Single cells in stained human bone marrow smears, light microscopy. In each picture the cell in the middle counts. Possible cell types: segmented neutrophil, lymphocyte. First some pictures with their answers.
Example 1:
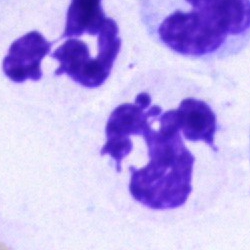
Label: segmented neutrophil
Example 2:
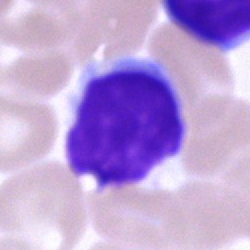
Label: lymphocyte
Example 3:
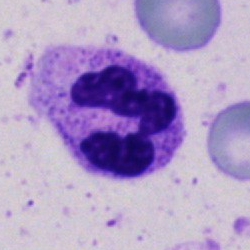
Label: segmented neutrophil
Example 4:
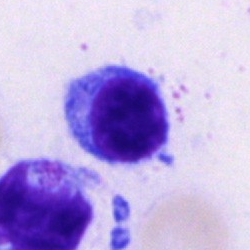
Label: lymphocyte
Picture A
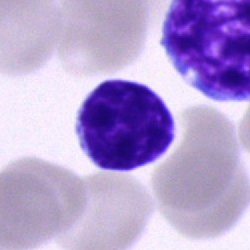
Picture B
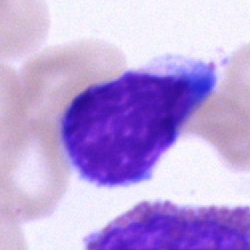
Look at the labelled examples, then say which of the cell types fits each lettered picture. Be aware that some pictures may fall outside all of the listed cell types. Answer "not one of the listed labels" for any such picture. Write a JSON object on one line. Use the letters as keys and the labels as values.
{"A": "lymphocyte", "B": "lymphocyte"}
